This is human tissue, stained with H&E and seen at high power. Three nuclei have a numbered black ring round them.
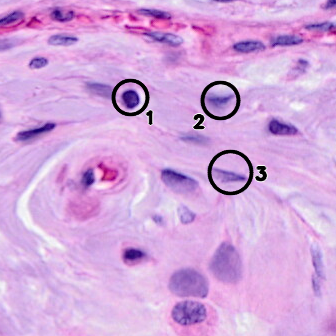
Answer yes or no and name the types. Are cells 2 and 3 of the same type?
Yes, both are fibroblasts.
